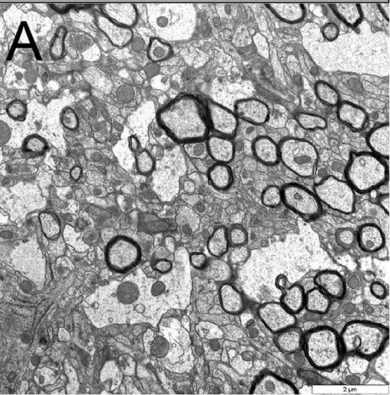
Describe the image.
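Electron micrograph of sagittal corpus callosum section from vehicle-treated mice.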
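Axons ringed by dark myelin sheaths are scattered rather than densely packed, and between them lie many unsheathed profiles and pale, empty-looking areas. Some sheaths appear thin relative to the axon diameter.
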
